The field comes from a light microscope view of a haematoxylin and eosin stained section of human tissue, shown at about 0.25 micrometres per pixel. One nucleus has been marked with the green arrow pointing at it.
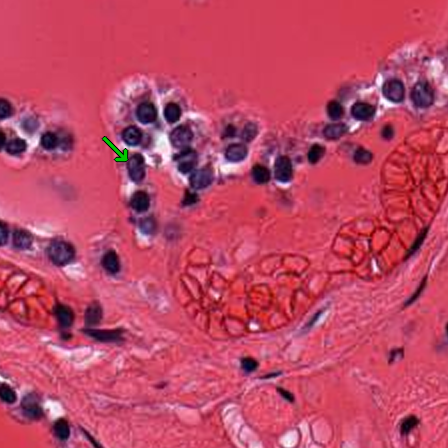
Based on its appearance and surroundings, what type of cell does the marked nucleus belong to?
thyroid follicular cell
